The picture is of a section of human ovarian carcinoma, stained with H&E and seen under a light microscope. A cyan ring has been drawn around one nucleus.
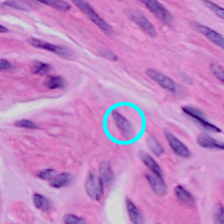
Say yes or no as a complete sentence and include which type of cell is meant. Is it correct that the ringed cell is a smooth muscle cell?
Yes, regarding cell type, the ringed cell is a smooth muscle cell.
